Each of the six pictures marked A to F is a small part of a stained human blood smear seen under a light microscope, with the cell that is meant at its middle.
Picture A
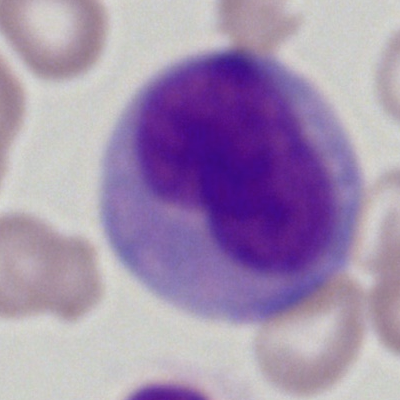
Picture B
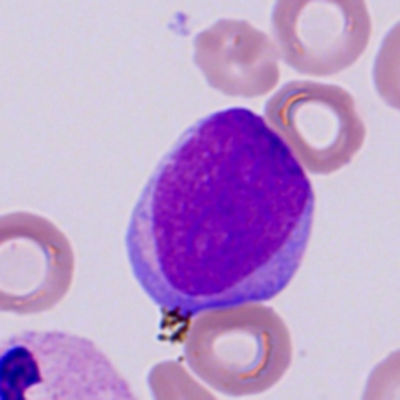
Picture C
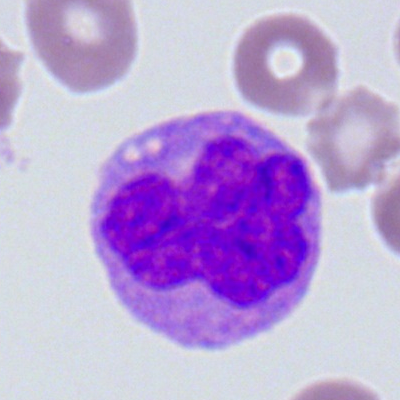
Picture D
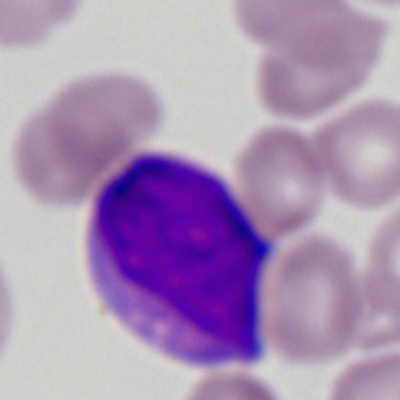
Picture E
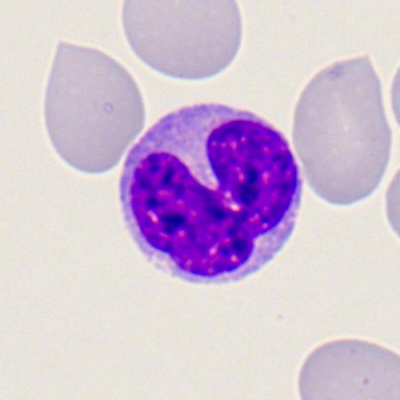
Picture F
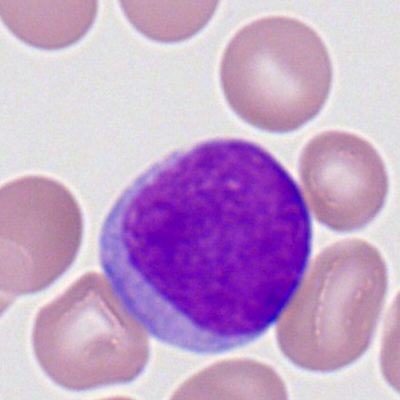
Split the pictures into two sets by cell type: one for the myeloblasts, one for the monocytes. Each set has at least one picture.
A: monocyte
B: myeloblast
C: monocyte
D: myeloblast
E: monocyte
F: myeloblast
